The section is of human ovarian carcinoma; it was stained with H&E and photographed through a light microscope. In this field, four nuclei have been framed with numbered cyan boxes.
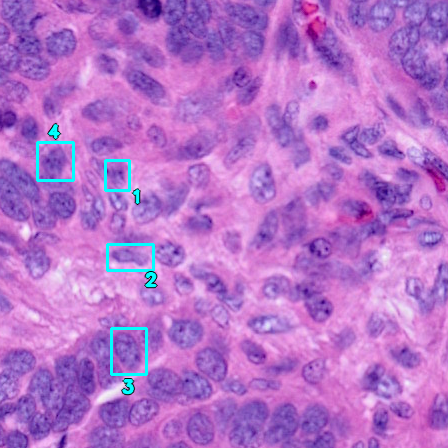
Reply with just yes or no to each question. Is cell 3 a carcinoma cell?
yes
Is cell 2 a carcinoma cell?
no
